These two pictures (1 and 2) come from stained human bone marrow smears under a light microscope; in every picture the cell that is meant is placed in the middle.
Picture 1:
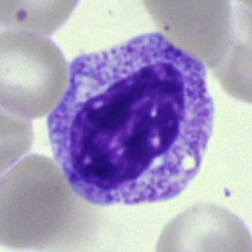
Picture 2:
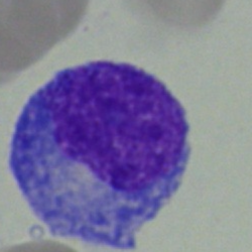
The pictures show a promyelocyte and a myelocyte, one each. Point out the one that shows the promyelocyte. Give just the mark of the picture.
2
